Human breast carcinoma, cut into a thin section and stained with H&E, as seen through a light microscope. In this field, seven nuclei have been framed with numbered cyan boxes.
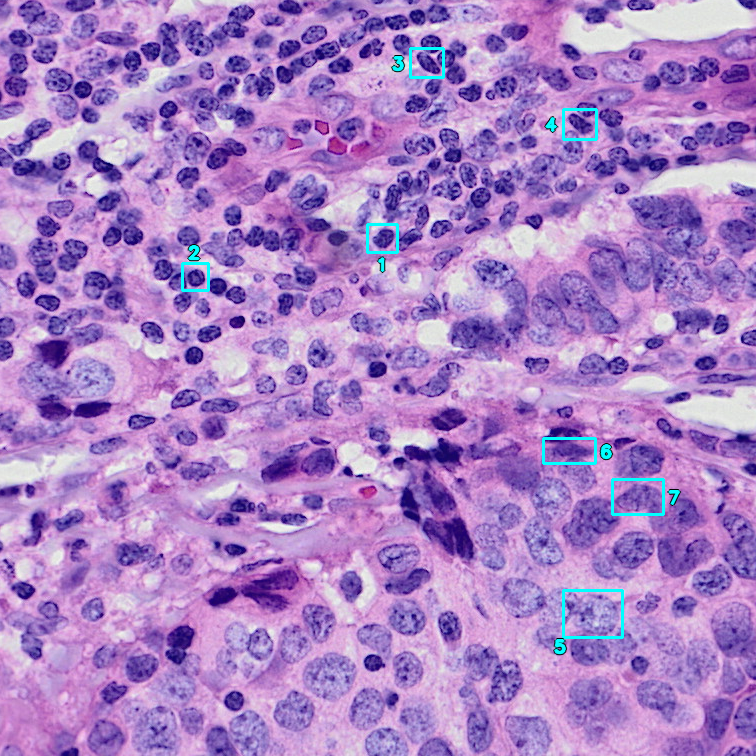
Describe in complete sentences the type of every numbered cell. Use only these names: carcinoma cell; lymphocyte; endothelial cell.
Cell 1 is a lymphocyte, cell 2 is a lymphocyte, cell 3 is a lymphocyte, cell 4 is a lymphocyte, cell 5 is a carcinoma cell, cell 6 is a carcinoma cell and cell 7 is a carcinoma cell.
